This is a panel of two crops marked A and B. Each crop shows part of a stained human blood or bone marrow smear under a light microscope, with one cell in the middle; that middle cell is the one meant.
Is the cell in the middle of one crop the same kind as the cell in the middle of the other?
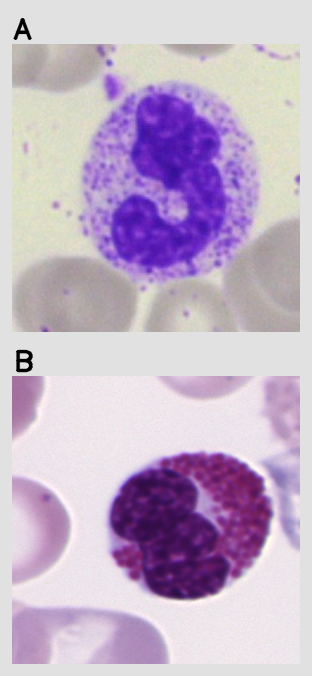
no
